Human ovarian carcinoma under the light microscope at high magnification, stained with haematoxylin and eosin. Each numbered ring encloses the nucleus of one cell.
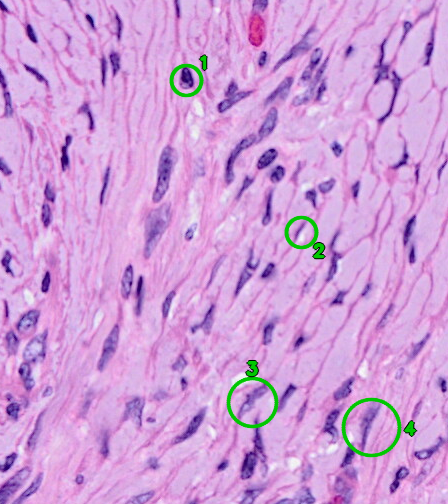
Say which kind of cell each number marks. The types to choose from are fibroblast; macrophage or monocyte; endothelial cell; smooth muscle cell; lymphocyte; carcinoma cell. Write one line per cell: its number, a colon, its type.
1: lymphocyte
2: fibroblast
3: fibroblast
4: fibroblast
